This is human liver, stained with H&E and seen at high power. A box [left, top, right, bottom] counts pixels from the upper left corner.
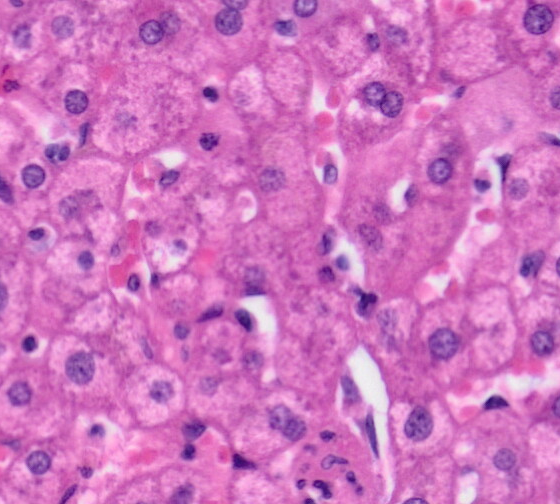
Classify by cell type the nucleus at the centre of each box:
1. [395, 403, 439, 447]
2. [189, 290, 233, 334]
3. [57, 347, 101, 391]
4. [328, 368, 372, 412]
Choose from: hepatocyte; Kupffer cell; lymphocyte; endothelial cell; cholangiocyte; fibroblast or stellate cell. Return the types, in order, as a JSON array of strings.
["hepatocyte", "fibroblast or stellate cell", "hepatocyte", "Kupffer cell"]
